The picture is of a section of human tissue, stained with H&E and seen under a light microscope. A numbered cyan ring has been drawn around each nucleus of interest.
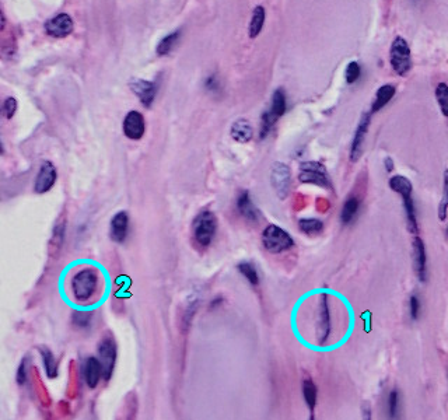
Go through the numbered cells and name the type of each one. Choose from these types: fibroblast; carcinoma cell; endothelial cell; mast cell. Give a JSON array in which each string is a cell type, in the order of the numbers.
["fibroblast", "mast cell"]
